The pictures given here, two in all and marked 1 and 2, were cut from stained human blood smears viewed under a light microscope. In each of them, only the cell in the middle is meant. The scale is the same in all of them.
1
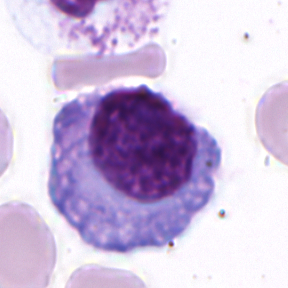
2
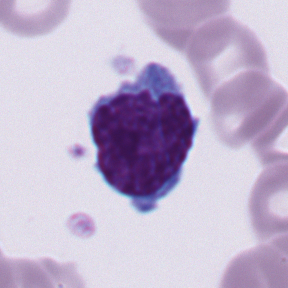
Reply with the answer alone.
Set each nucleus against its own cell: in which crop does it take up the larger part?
2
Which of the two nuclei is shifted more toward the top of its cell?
1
